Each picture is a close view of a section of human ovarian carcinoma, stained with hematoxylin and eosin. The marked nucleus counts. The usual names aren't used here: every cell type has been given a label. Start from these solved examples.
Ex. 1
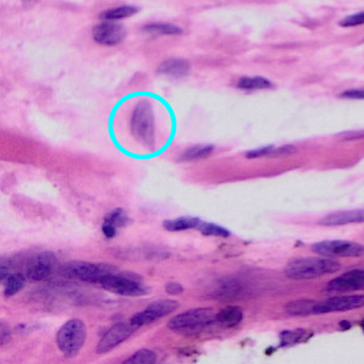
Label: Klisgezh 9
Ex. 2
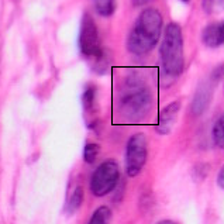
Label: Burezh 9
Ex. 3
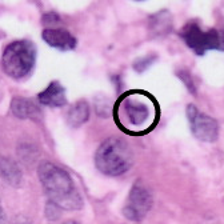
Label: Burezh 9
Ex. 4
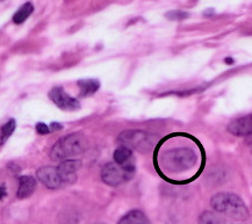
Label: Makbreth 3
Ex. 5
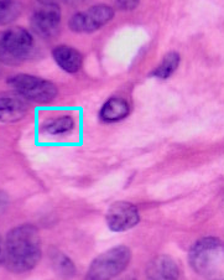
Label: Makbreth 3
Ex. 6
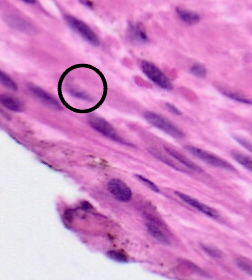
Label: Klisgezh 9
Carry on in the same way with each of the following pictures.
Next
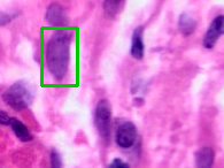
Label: Klisgezh 9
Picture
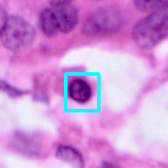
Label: Makbreth 3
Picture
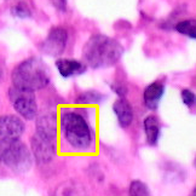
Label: Burezh 9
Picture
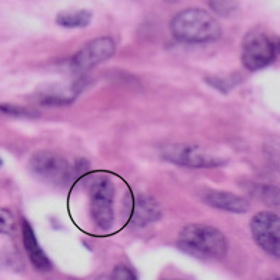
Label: Makbreth 3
